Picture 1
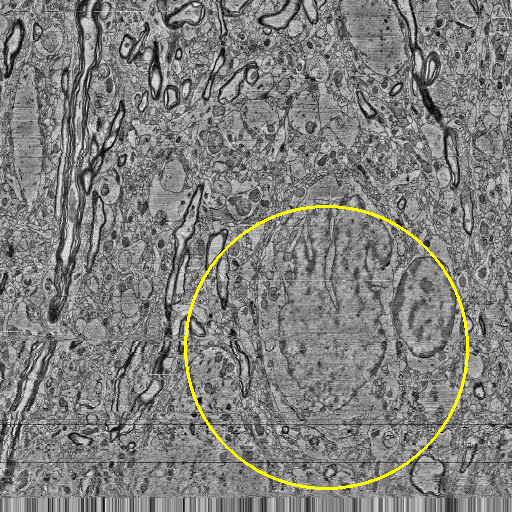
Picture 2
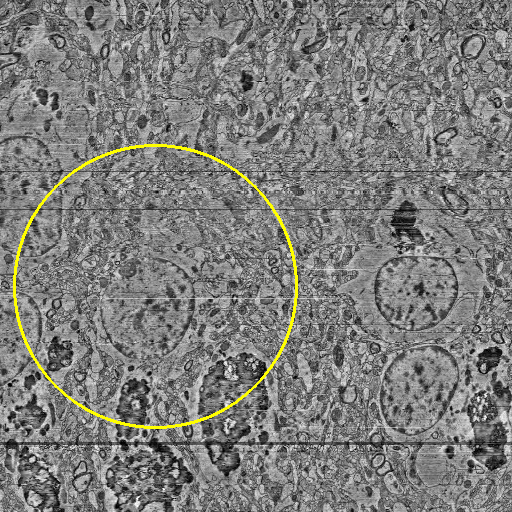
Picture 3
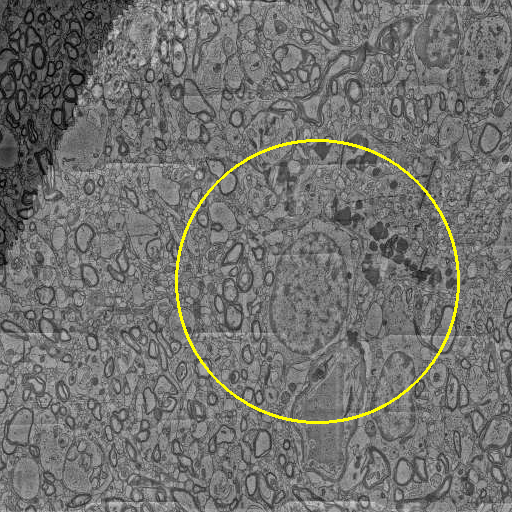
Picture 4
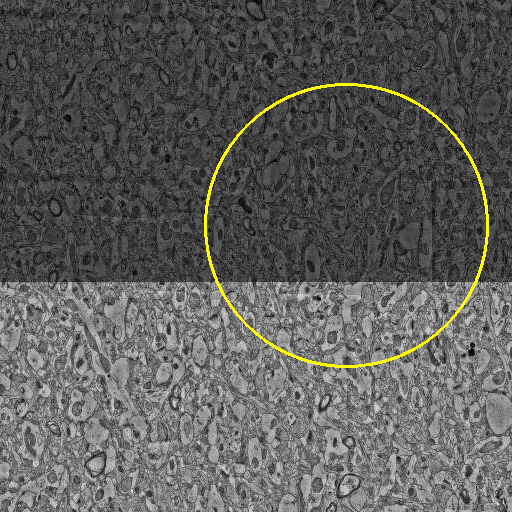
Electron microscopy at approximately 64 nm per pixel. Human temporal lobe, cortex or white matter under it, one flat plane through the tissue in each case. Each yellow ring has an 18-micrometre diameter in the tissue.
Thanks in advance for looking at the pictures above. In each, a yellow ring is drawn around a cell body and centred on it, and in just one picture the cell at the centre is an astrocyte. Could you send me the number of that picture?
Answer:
2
